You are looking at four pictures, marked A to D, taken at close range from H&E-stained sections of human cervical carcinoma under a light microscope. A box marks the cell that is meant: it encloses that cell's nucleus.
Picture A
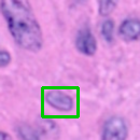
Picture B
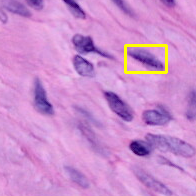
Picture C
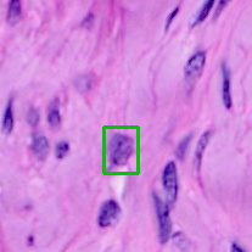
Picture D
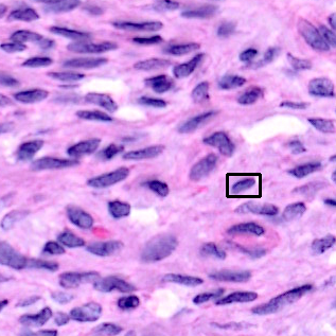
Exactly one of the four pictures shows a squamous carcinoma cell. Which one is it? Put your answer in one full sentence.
The cell in picture A is the squamous carcinoma cell.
